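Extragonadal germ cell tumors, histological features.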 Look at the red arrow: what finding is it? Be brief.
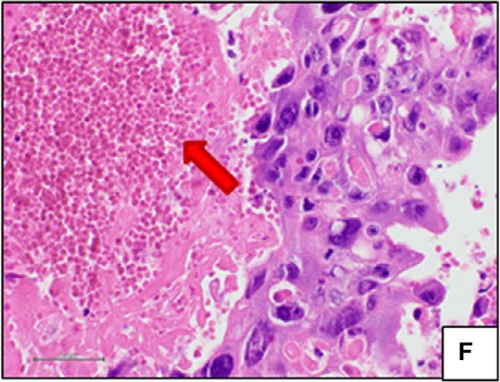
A: Hemorrhages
